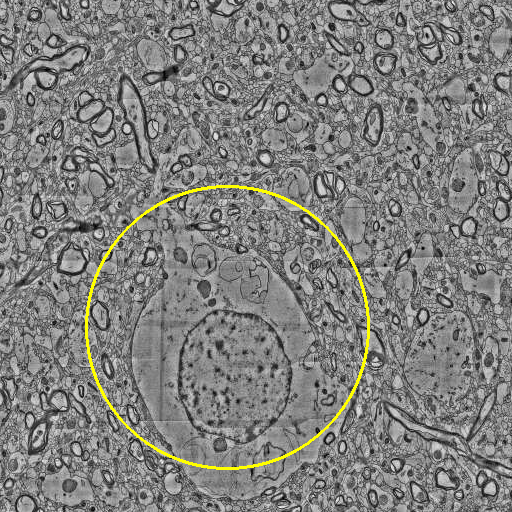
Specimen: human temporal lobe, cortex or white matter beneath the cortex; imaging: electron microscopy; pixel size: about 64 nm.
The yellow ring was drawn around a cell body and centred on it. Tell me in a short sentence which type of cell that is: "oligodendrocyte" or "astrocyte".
The cell at the ring's centre is an astrocyte.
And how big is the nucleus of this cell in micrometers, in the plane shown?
Roughly 9 micrometres by 7 micrometres, in this plane.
